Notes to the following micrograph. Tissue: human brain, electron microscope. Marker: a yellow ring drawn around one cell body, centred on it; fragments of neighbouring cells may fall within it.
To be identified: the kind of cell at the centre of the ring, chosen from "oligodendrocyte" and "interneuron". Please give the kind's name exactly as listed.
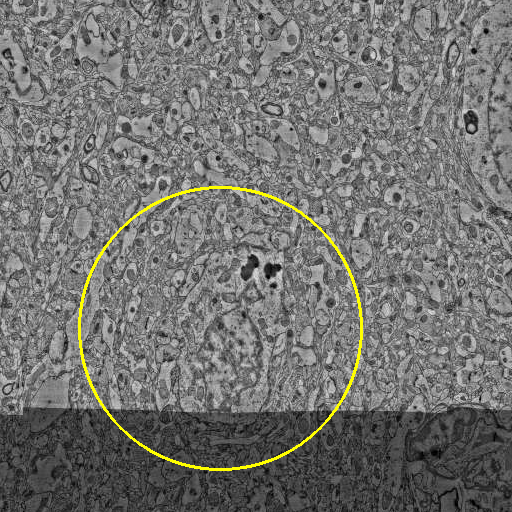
interneuron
